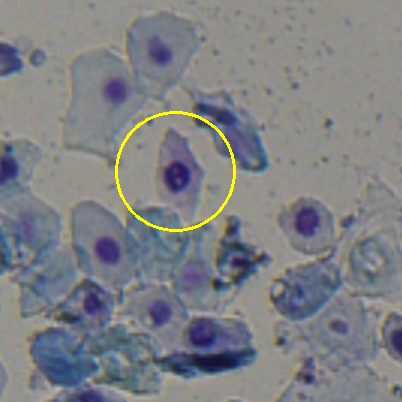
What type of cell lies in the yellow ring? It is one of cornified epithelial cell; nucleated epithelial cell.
The ringed cell is a nucleated epithelial cell.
